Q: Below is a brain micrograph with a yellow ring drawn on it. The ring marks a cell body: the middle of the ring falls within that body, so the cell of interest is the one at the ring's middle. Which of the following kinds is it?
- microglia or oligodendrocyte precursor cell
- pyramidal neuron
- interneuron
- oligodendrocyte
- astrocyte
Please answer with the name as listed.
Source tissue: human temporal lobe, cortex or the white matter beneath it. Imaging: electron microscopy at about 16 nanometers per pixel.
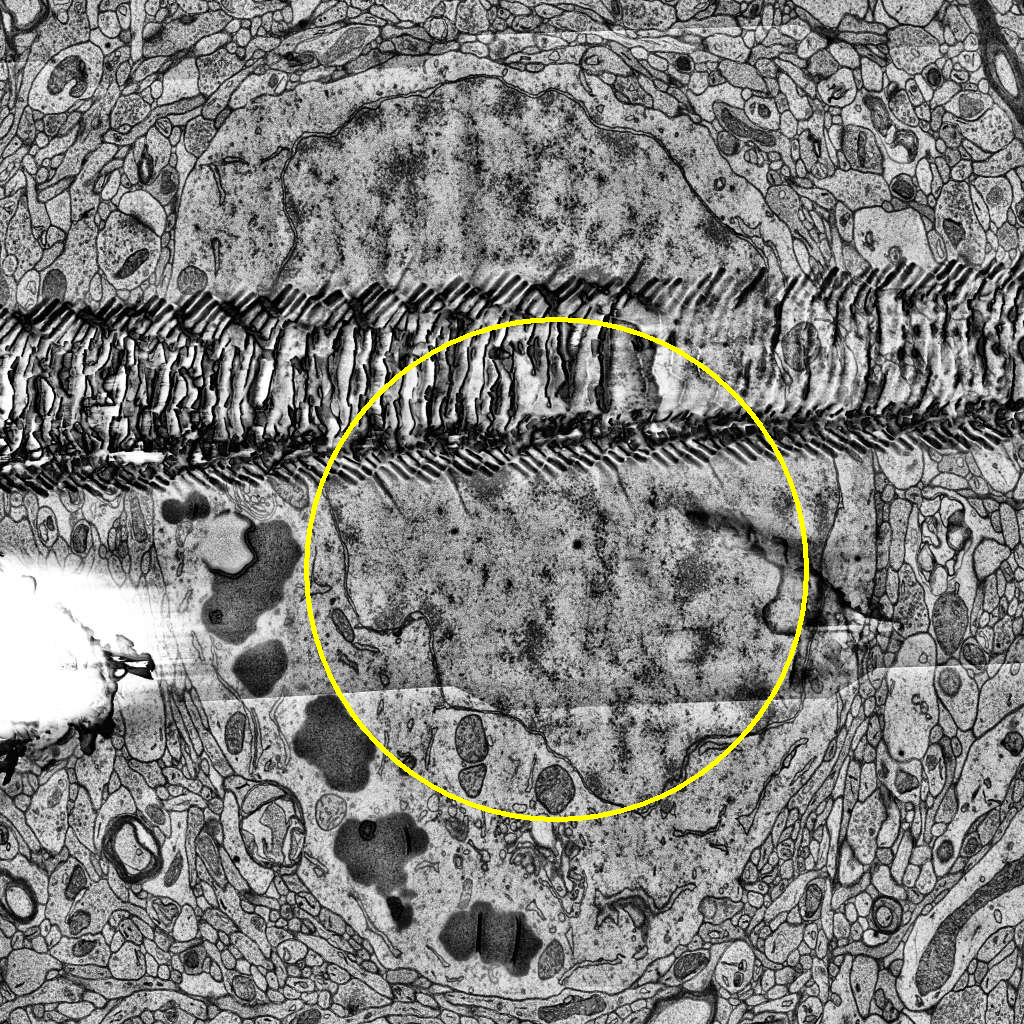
interneuron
